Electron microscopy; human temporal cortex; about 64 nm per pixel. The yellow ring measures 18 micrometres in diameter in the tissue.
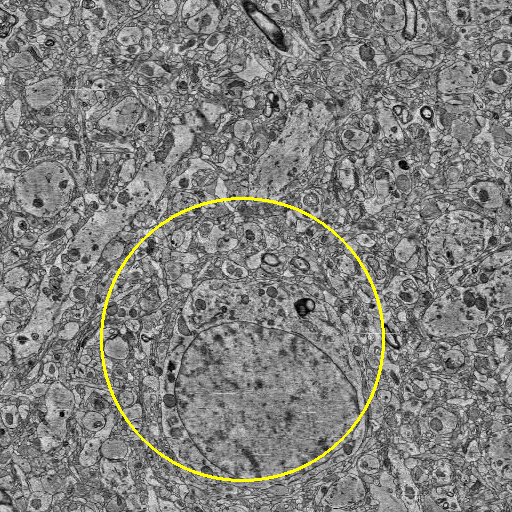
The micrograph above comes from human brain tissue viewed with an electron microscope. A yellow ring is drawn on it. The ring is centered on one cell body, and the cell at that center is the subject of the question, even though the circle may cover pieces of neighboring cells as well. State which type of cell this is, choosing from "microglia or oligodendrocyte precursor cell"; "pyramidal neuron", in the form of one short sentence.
The cell the ring is centered on is a pyramidal neuron.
